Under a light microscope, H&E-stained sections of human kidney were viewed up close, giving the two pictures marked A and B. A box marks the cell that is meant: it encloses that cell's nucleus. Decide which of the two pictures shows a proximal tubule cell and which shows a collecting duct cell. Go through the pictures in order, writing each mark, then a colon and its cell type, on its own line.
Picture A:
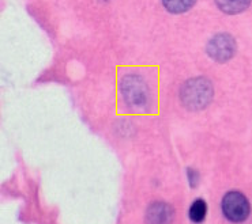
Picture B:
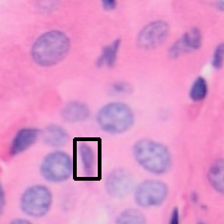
A: proximal tubule cell
B: collecting duct cell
